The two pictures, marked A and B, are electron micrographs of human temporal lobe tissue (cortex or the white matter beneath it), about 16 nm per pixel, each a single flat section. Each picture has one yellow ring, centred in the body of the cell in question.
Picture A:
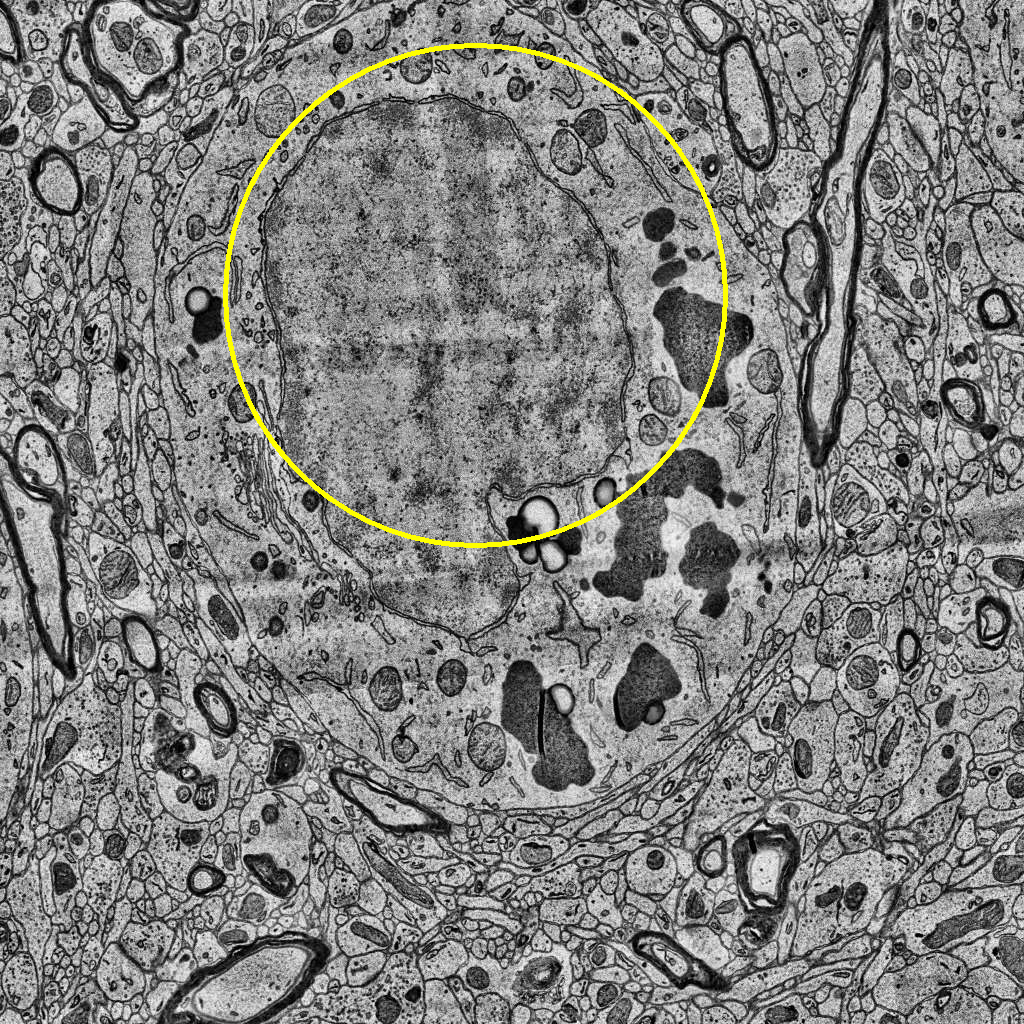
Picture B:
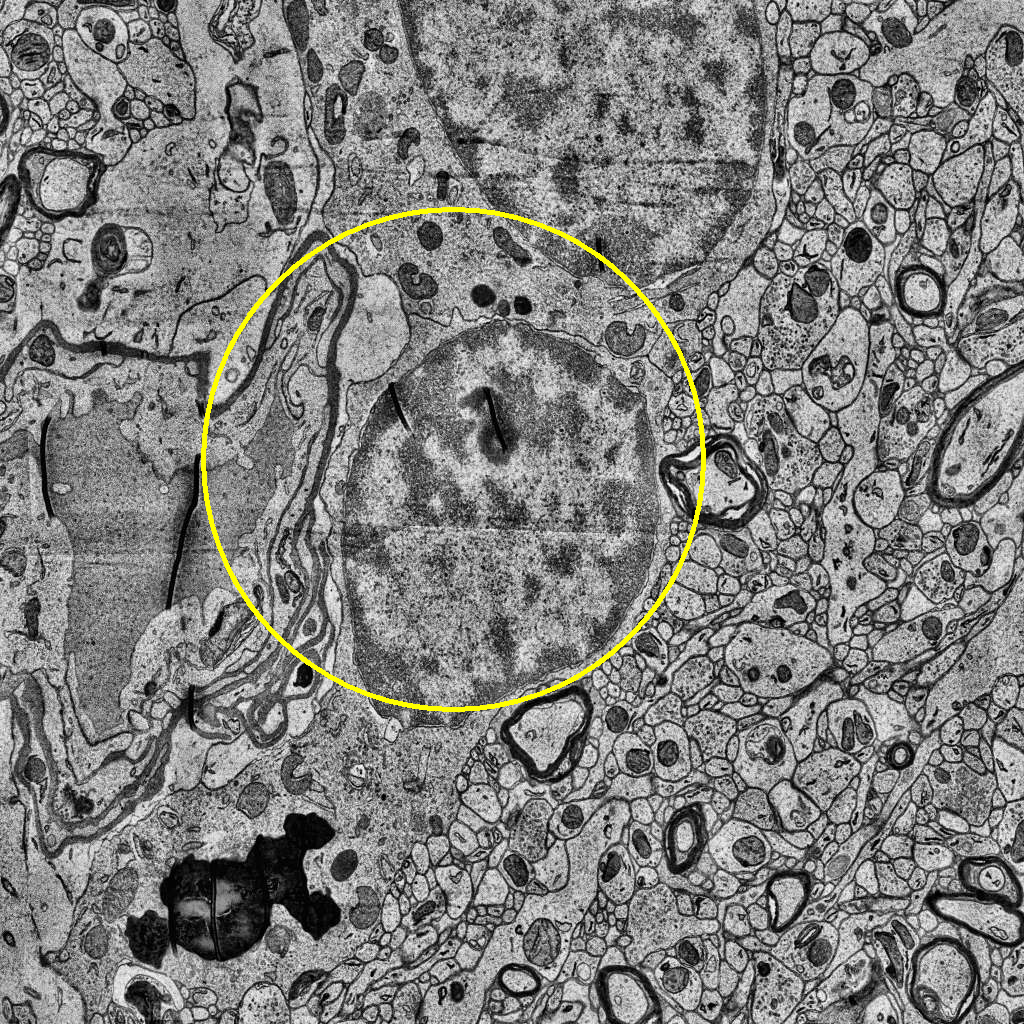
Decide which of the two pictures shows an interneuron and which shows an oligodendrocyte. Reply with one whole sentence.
Picture A shows an interneuron and picture B shows an oligodendrocyte.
